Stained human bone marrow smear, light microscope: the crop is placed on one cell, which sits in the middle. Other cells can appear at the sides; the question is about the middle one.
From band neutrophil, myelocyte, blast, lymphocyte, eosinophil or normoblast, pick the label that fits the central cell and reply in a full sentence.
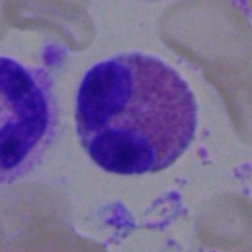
Centred in the crop is an eosinophil.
